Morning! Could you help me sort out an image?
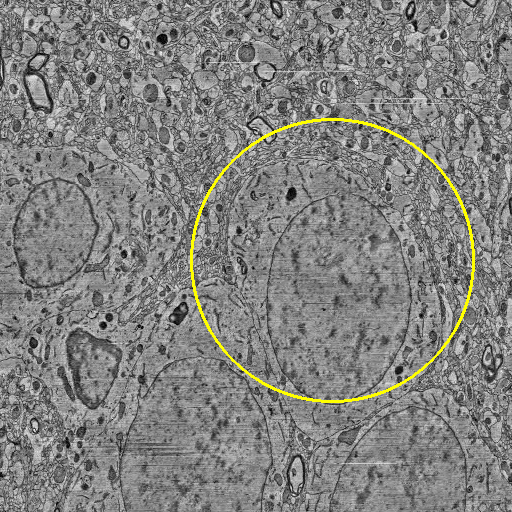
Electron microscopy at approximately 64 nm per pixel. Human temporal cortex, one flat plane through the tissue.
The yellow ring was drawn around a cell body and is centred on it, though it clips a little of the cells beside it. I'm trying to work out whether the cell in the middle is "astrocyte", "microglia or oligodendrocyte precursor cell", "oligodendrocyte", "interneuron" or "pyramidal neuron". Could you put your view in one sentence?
The ringed cell body is that of a pyramidal neuron.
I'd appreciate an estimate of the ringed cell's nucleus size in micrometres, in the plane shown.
In this plane, about 14 by 9 micrometres: the nucleus is clearly longer than it is wide.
